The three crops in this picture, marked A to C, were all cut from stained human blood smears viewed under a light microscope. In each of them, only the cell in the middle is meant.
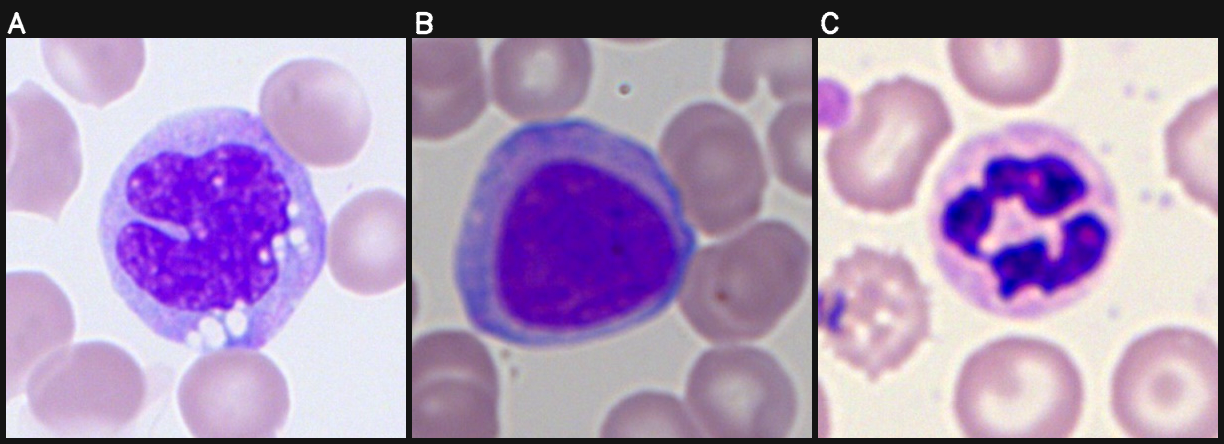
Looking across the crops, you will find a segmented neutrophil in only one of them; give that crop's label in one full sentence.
Of the crops shown, crop C depicts a segmented neutrophil.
